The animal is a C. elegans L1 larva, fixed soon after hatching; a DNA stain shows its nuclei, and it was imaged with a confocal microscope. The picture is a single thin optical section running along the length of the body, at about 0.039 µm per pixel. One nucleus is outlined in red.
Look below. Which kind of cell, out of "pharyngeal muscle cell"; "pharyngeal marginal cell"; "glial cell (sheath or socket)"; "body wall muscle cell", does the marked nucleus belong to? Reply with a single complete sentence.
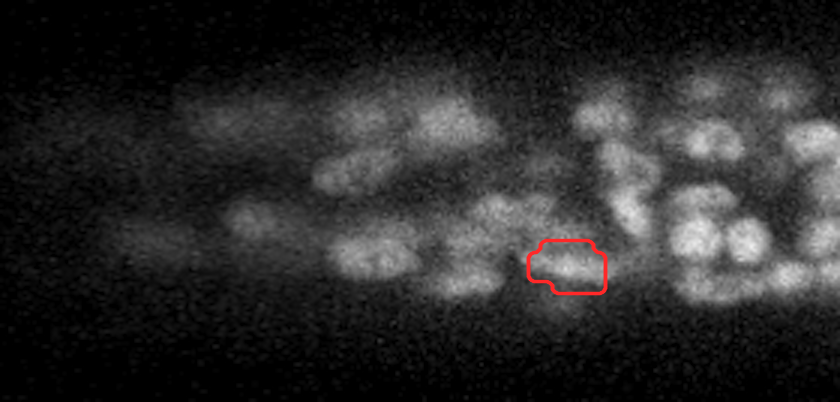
It belongs to a glial cell (sheath or socket).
